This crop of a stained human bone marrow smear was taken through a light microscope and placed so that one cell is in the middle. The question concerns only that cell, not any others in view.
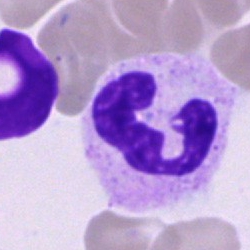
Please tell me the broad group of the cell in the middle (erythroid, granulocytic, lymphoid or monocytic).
granulocytic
